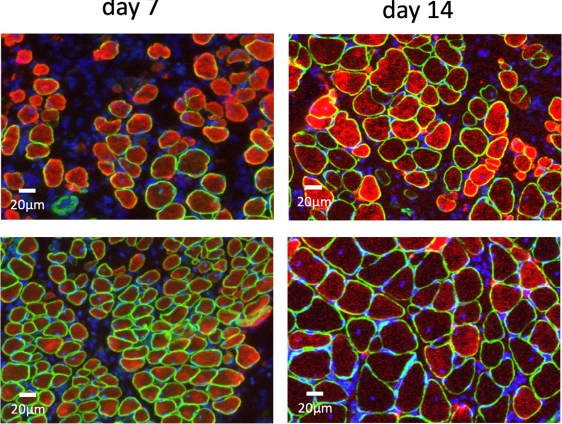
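Four fields of skeletal muscle in cross-section, each showing muscle fibers as rounded to polygonal profiles bounded by a thin green rim at the cell membrane. Blue nuclei sit at the fiber edges and in the spaces between fibers. In the two left fields nearly every fiber has cytoplasm filled with red. The upper-left fibers are small, rounded and loosely spaced, with many nuclei between them. The lower-left fibers are small and crowded. A number of fibers there show only the green rim around a dark interior.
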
